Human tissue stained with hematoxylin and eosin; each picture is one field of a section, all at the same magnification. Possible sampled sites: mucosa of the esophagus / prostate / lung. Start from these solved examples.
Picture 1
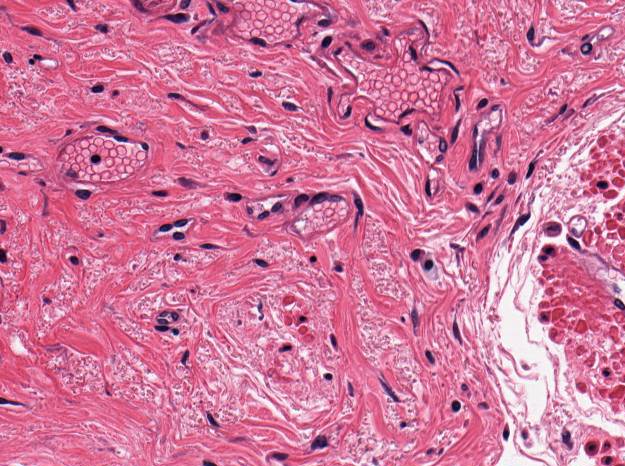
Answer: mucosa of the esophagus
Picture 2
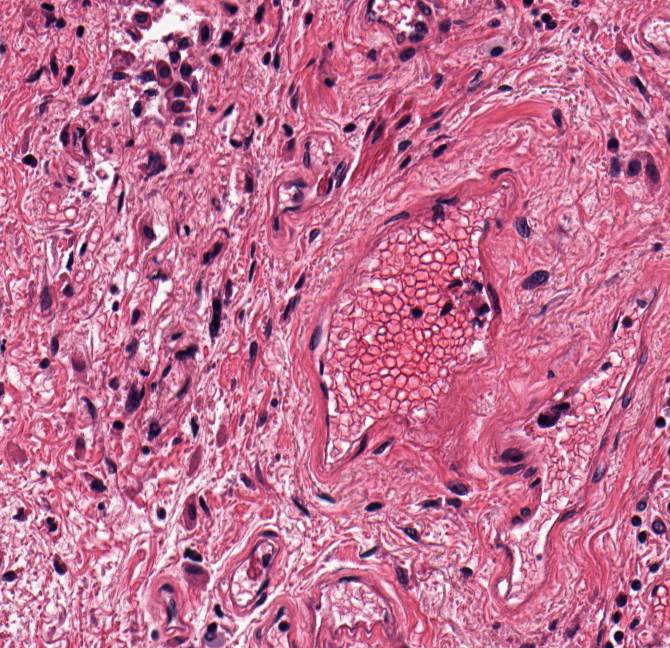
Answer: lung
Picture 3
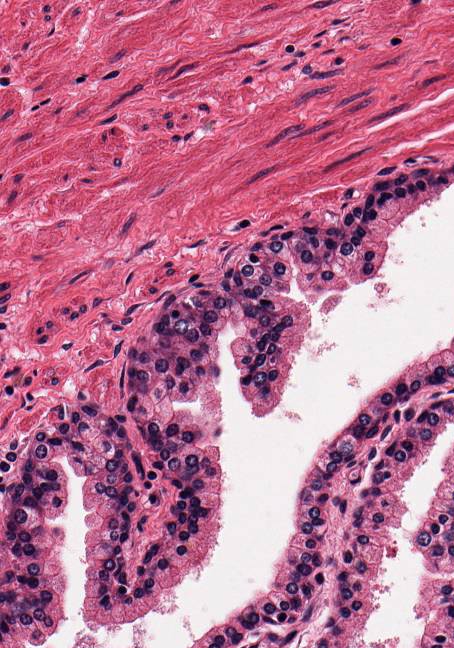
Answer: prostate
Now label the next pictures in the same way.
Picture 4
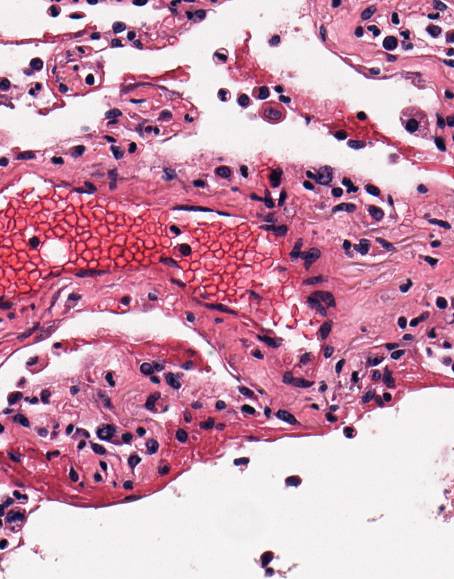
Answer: lung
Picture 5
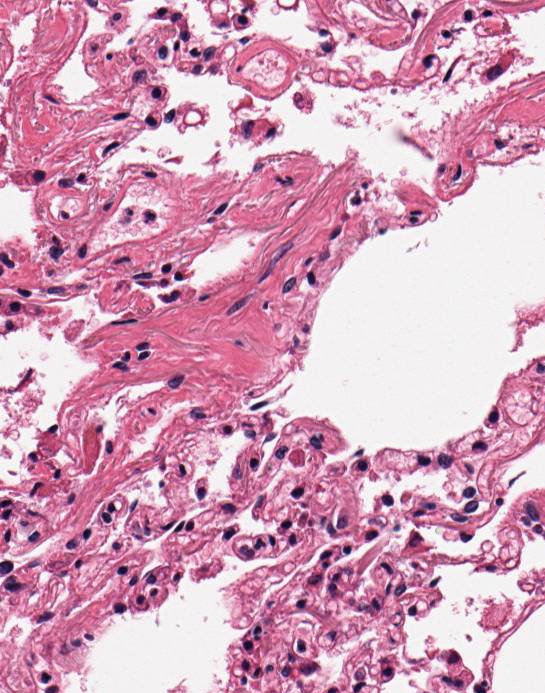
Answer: lung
